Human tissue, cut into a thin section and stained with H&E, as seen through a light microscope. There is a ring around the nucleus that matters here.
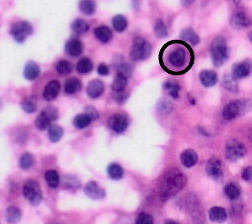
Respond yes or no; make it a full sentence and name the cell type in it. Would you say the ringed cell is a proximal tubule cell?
No, the ringed cell is not a proximal tubule cell but a plasma cell.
